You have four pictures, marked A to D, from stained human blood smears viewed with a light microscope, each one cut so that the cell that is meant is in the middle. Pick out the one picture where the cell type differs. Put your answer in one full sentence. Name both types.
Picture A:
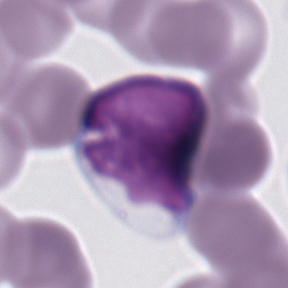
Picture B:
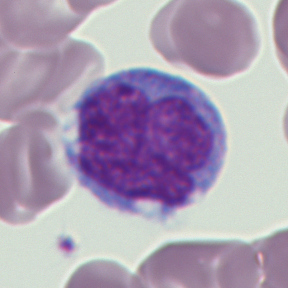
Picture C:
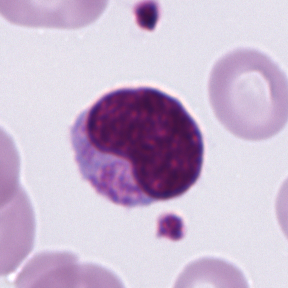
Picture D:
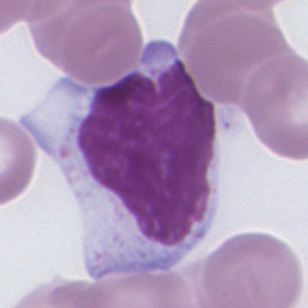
Picture B is the odd one out: it shows a monocyte, while the others show large granular lymphocytes.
